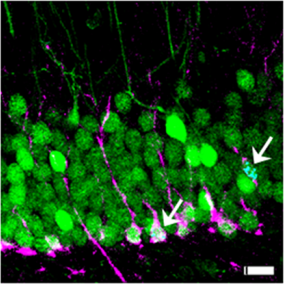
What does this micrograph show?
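This is the granule cell layer of the dentate gyrus, packed with round granule cell bodies whose nuclei are green. Two of them, marked by arrows, carry speckled cyan nuclei, one at the base and one higher in the layer. A few brighter green cells with dendrites running upward stand out among the nuclei.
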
